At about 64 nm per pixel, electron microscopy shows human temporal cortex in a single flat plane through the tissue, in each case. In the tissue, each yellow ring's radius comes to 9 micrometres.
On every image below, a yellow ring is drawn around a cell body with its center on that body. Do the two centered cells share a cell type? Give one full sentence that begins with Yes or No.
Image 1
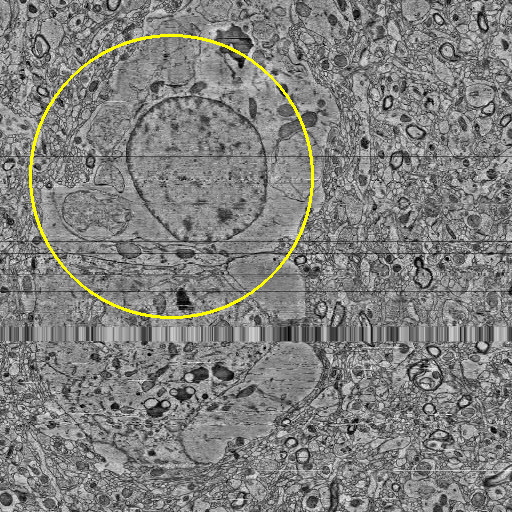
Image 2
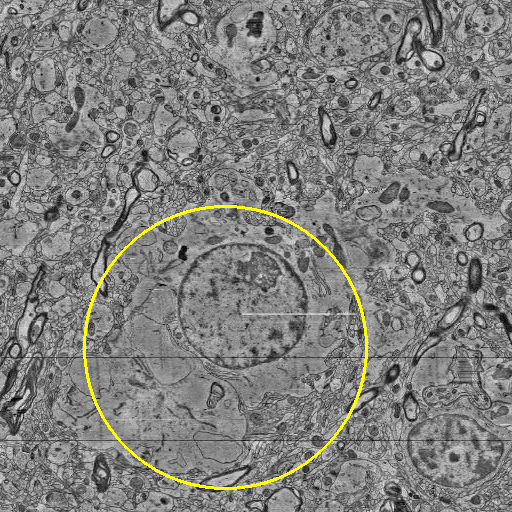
Yes, the centered cells in the two images are of a single cell type.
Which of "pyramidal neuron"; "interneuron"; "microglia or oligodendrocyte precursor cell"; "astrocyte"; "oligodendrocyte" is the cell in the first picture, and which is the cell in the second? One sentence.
Both pictures show an astrocyte at the centre of the ring.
